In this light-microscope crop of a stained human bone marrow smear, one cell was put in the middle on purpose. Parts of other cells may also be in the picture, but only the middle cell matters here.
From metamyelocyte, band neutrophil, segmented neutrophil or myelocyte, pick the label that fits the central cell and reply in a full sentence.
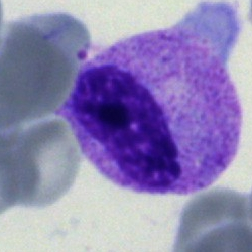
The cell found in the middle of this crop is a metamyelocyte.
